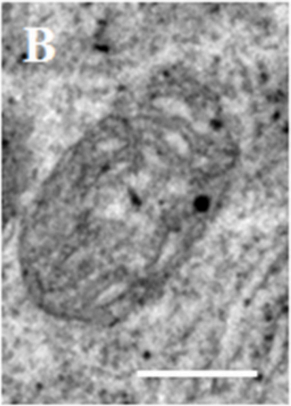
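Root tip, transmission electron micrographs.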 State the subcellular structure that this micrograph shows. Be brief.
Mitochondria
